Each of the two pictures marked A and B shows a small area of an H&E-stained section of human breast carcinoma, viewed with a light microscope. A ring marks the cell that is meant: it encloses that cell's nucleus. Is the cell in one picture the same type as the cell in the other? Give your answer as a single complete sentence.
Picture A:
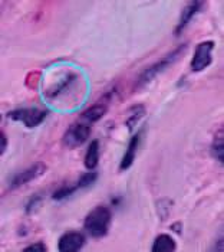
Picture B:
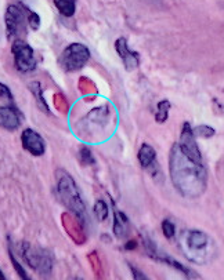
Yes, they are the same type: both are endothelial cells.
